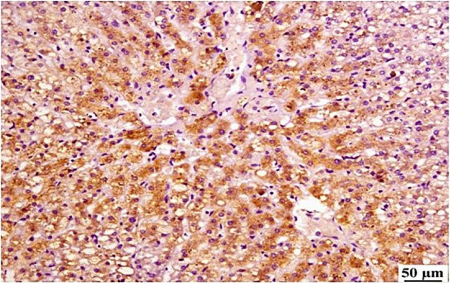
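This is liver parenchyma made of polygonal hepatocytes arranged in cords radiating around a vessel. The hepatocytes show granular brown staining in their cytoplasm, while their round nuclei are stained blue. Many hepatocytes contain clear, vacuolated spaces in the cytoplasm. Narrow sinusoidal spaces lie between the cords.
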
